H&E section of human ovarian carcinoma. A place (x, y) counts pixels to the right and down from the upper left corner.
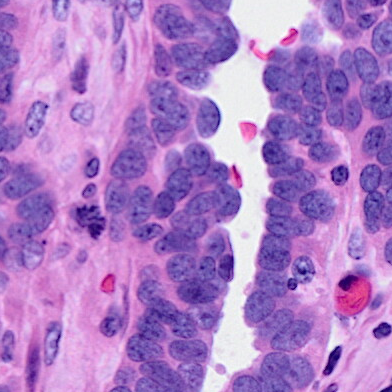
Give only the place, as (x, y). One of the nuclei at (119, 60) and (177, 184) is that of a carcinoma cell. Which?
(177, 184)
